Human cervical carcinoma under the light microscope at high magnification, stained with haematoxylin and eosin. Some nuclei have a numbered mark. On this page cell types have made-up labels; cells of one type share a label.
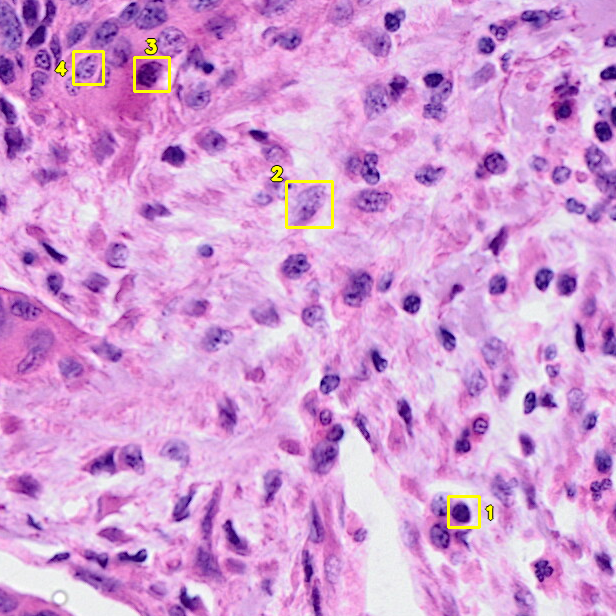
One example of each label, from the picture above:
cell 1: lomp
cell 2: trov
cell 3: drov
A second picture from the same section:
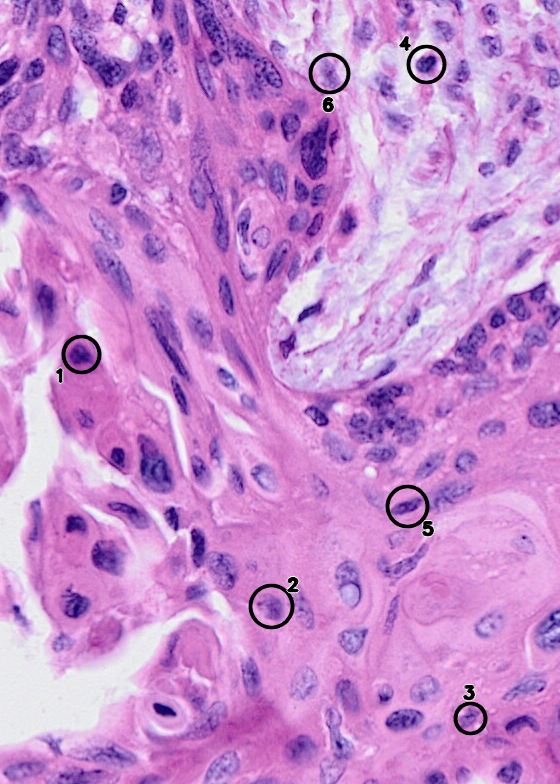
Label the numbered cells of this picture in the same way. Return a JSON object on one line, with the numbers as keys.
{"1": "drov", "2": "drov", "3": "drov", "4": "lomp", "5": "drov", "6": "trov"}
